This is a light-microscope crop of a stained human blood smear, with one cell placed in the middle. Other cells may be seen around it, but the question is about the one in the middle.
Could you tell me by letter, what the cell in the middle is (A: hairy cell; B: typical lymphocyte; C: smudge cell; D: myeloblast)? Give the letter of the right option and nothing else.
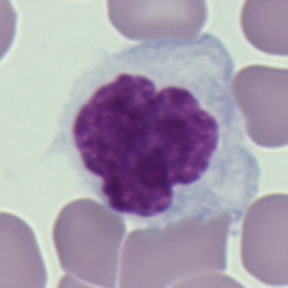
A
